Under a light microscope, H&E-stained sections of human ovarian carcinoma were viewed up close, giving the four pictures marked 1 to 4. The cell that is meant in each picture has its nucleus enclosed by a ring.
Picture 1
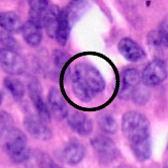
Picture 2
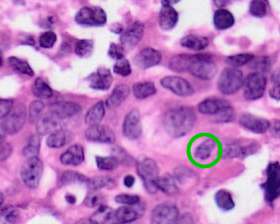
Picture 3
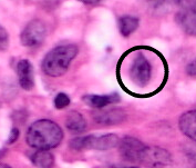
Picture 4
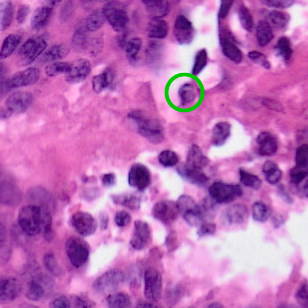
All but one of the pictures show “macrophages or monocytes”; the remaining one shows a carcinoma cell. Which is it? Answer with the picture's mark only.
1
